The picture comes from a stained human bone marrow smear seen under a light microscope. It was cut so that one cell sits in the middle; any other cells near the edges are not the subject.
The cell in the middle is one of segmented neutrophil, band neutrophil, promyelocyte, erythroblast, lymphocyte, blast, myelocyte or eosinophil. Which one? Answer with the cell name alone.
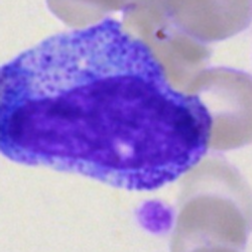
promyelocyte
